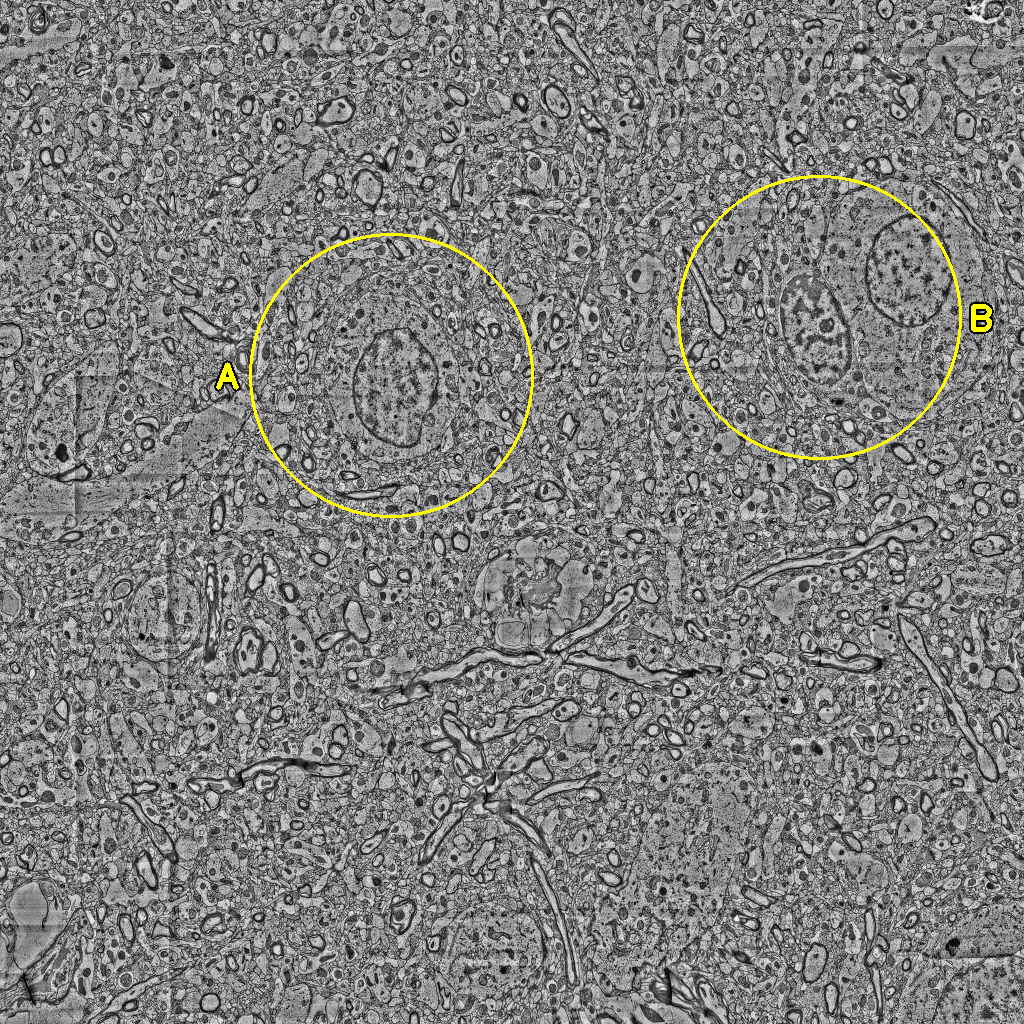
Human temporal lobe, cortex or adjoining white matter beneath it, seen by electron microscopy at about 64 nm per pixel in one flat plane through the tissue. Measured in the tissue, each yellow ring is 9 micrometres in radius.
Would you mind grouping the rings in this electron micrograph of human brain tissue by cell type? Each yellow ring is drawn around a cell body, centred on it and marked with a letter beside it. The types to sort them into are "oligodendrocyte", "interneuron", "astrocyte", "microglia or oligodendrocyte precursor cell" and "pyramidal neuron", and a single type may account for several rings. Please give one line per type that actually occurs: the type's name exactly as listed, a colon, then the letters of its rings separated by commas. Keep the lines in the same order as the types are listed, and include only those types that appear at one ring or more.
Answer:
oligodendrocyte: B
interneuron: A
